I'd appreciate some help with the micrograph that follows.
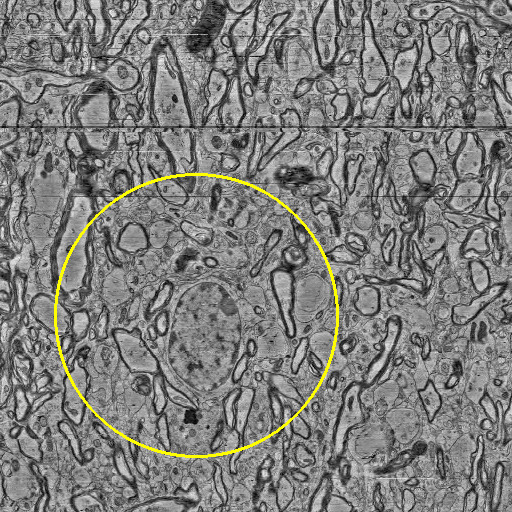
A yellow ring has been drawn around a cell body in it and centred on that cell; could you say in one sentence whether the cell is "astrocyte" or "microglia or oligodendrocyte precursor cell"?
It is a microglial cell or oligodendrocyte precursor cell at the centre of the ring.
